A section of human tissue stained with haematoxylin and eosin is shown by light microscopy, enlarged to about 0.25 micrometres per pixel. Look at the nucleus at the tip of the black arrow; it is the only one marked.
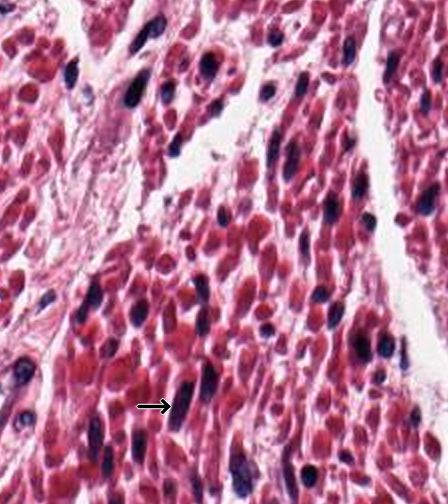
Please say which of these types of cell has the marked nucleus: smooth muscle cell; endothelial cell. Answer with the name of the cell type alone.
smooth muscle cell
